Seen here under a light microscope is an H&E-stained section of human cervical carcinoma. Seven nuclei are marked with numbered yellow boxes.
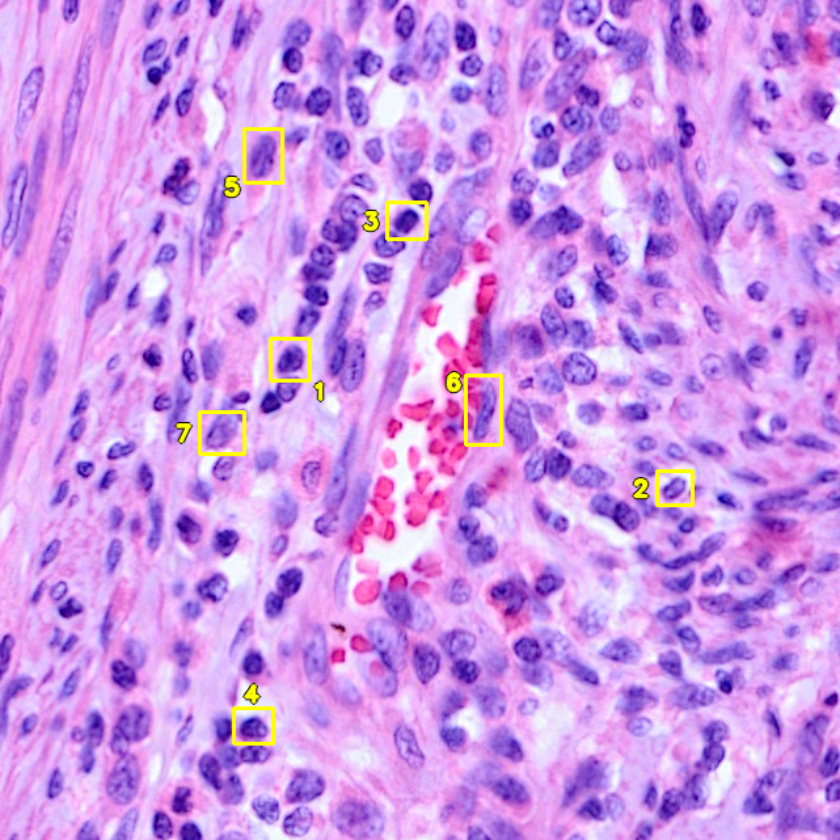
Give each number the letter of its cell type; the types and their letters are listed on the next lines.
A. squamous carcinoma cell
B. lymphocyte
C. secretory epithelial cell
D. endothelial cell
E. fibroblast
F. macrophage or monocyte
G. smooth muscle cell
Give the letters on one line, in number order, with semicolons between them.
B; B; B; B; F; D; F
